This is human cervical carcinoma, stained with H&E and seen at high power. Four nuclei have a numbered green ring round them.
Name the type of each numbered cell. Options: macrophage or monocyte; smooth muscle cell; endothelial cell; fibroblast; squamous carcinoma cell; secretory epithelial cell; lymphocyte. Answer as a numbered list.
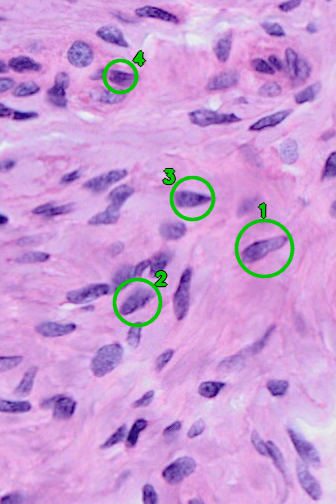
1. fibroblast
2. fibroblast
3. fibroblast
4. endothelial cell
